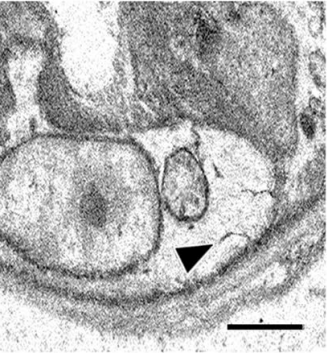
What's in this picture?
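A rounded, pale nucleus with a small darker spot fills most of the cell body. Around it the cytoplasm is strikingly lucent, almost empty-looking, and set off by a thin dark boundary. To one side lies a small oval membrane-bound organelle, a mitochondrion. Thin folds of the plasma membrane run deep into the pale cytoplasm at the lower edge. The cell sits in a shallow bay against a dense, finely layered sheath below, and at its upper left a blunt cytoplasmic projection reaches outward.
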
